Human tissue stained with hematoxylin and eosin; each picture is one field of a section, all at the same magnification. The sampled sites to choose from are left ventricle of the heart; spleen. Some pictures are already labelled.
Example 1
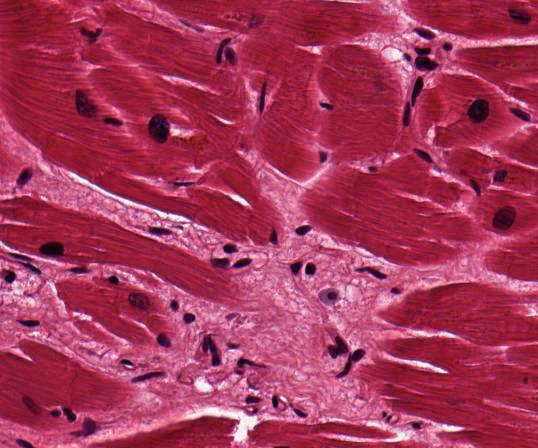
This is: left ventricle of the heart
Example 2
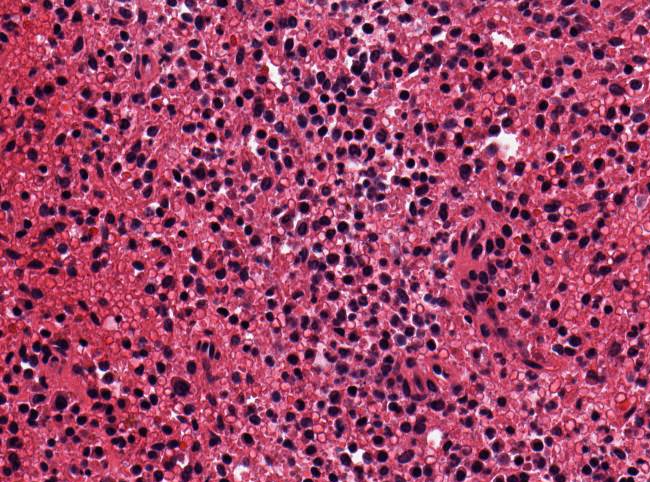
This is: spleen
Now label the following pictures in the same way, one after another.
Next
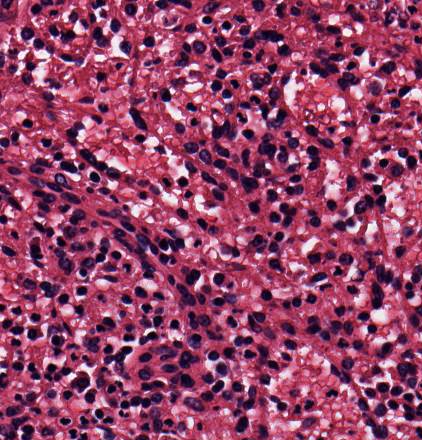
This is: spleen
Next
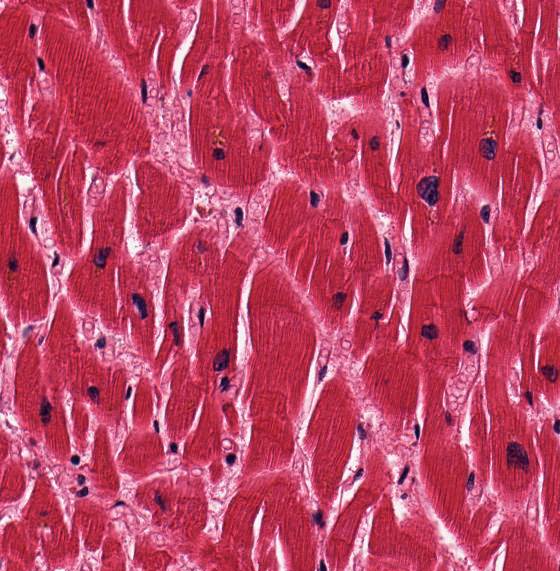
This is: left ventricle of the heart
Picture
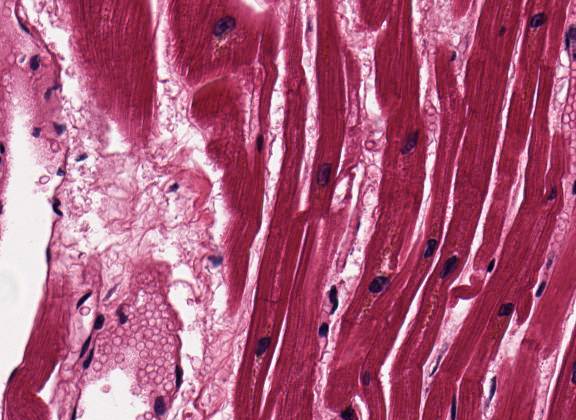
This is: left ventricle of the heart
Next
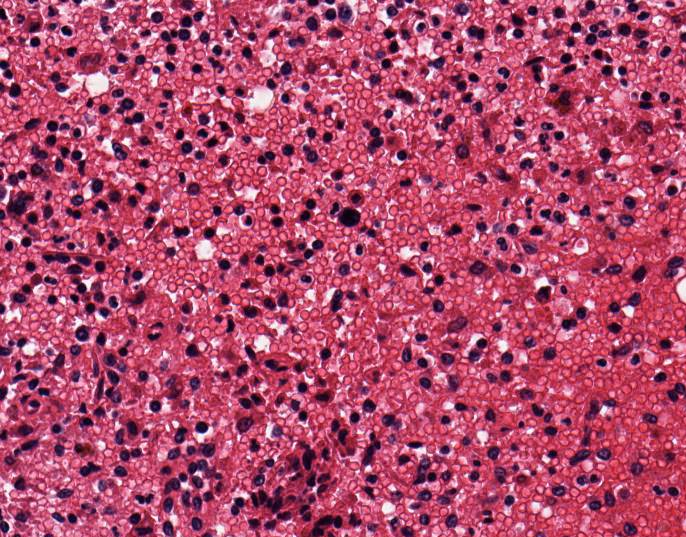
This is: spleen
